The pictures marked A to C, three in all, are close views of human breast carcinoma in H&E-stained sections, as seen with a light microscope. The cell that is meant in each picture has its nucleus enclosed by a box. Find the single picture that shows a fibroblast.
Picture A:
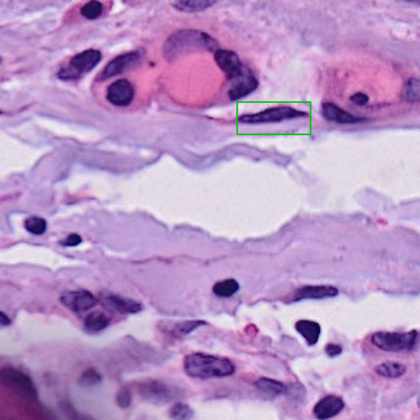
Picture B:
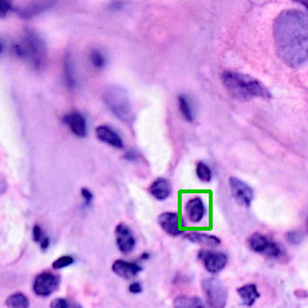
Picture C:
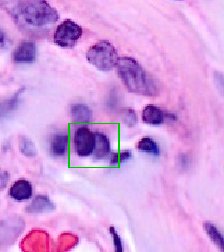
A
